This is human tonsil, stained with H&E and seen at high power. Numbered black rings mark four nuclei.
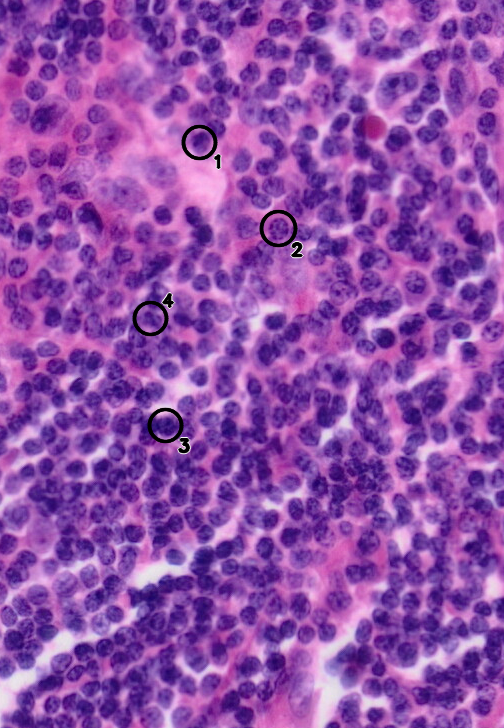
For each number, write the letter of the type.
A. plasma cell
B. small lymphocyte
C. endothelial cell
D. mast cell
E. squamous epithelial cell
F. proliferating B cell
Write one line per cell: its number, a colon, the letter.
1: C
2: A
3: B
4: B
